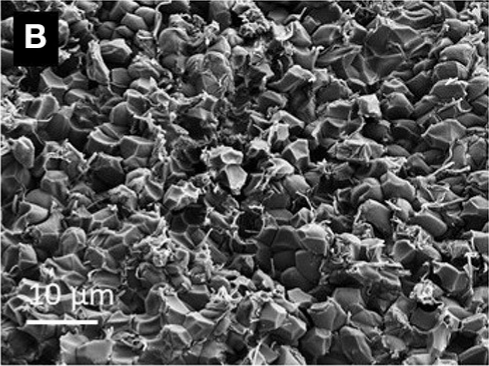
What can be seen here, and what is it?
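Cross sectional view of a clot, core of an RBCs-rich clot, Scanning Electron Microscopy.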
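The cells fill the field almost without gaps, pressed against one another so that each has flat faces, straight edges and angular, polygonal outlines instead of a round disc shape. Surfaces are smooth, with ridges where faces meet. Only scattered small fibrous strands and a few irregular gaps are seen between cells.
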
